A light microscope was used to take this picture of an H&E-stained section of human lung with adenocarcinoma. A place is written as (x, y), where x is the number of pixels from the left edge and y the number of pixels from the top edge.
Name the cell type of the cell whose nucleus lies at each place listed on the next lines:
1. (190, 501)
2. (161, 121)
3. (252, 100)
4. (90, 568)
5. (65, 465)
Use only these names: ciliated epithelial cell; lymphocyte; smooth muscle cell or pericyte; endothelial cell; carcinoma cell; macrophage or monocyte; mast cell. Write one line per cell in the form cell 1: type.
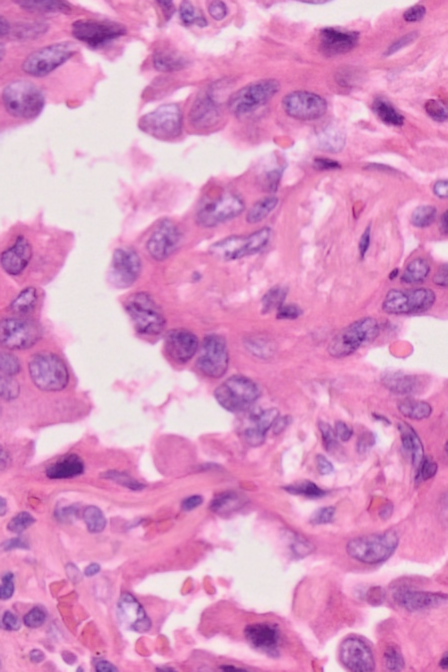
cell 1: lymphocyte
cell 2: carcinoma cell
cell 3: carcinoma cell
cell 4: lymphocyte
cell 5: carcinoma cell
